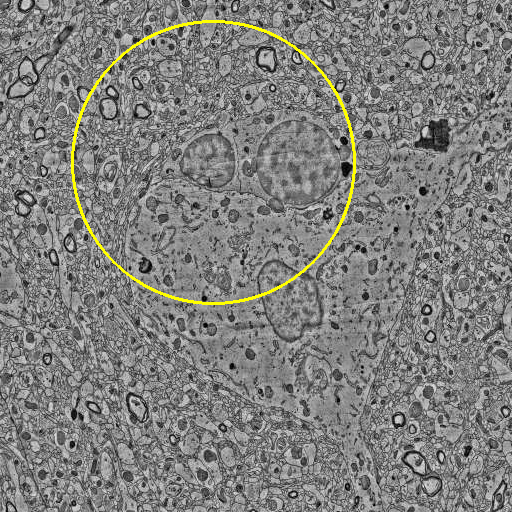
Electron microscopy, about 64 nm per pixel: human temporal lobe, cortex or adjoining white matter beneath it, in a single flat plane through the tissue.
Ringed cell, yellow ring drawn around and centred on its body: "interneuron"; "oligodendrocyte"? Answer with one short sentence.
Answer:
This ringed cell is an oligodendrocyte.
